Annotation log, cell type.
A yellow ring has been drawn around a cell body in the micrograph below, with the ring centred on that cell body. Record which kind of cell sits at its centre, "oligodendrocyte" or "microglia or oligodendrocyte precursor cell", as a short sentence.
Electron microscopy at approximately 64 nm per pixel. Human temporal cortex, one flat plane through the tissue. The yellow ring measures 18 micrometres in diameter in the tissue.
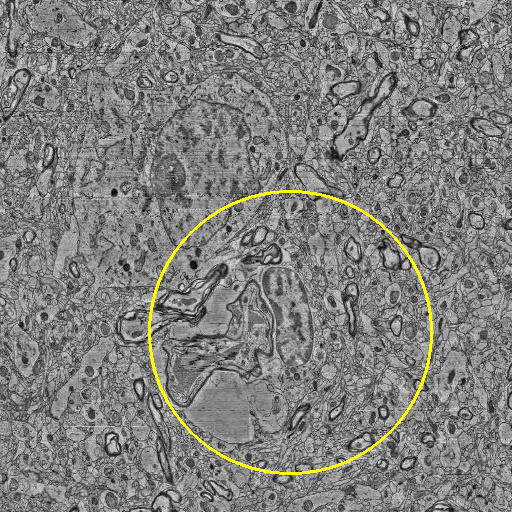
The cell at the centre of this ring is a microglial cell or oligodendrocyte precursor cell.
